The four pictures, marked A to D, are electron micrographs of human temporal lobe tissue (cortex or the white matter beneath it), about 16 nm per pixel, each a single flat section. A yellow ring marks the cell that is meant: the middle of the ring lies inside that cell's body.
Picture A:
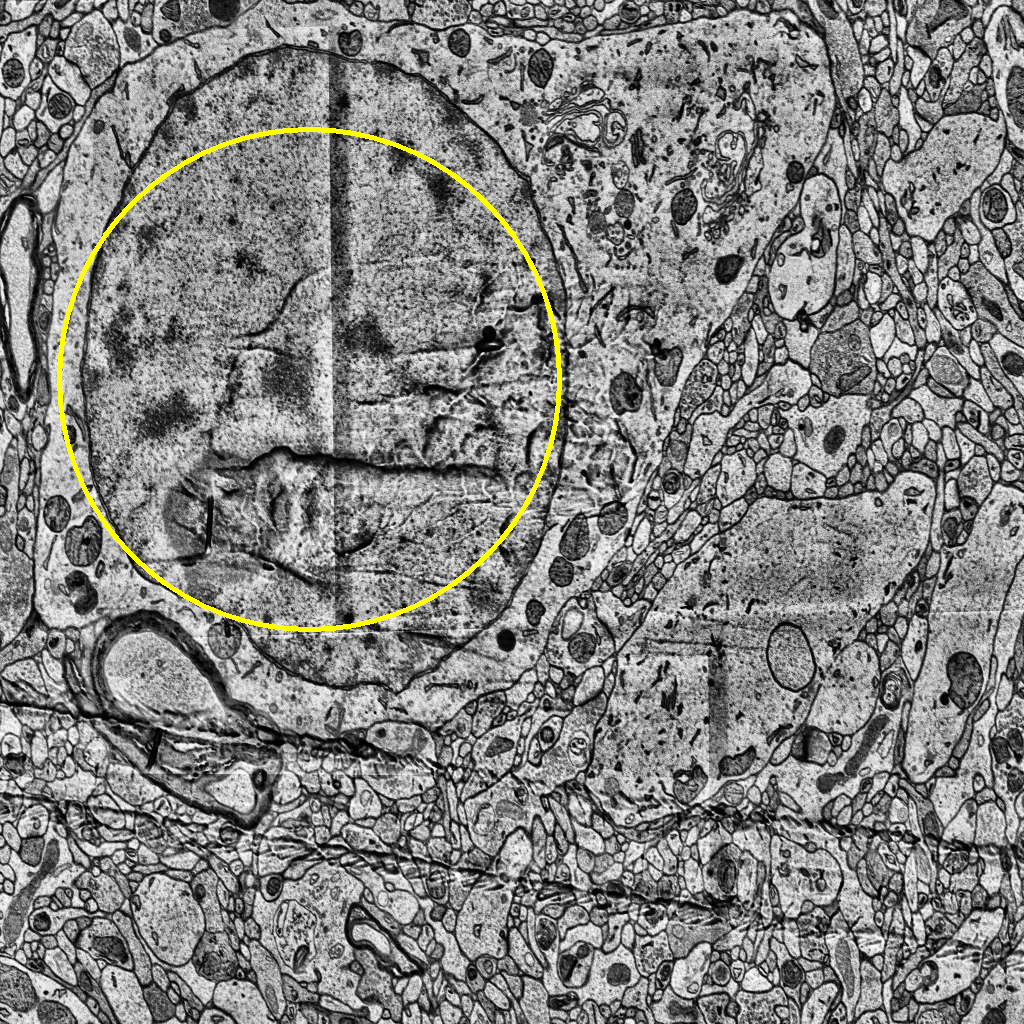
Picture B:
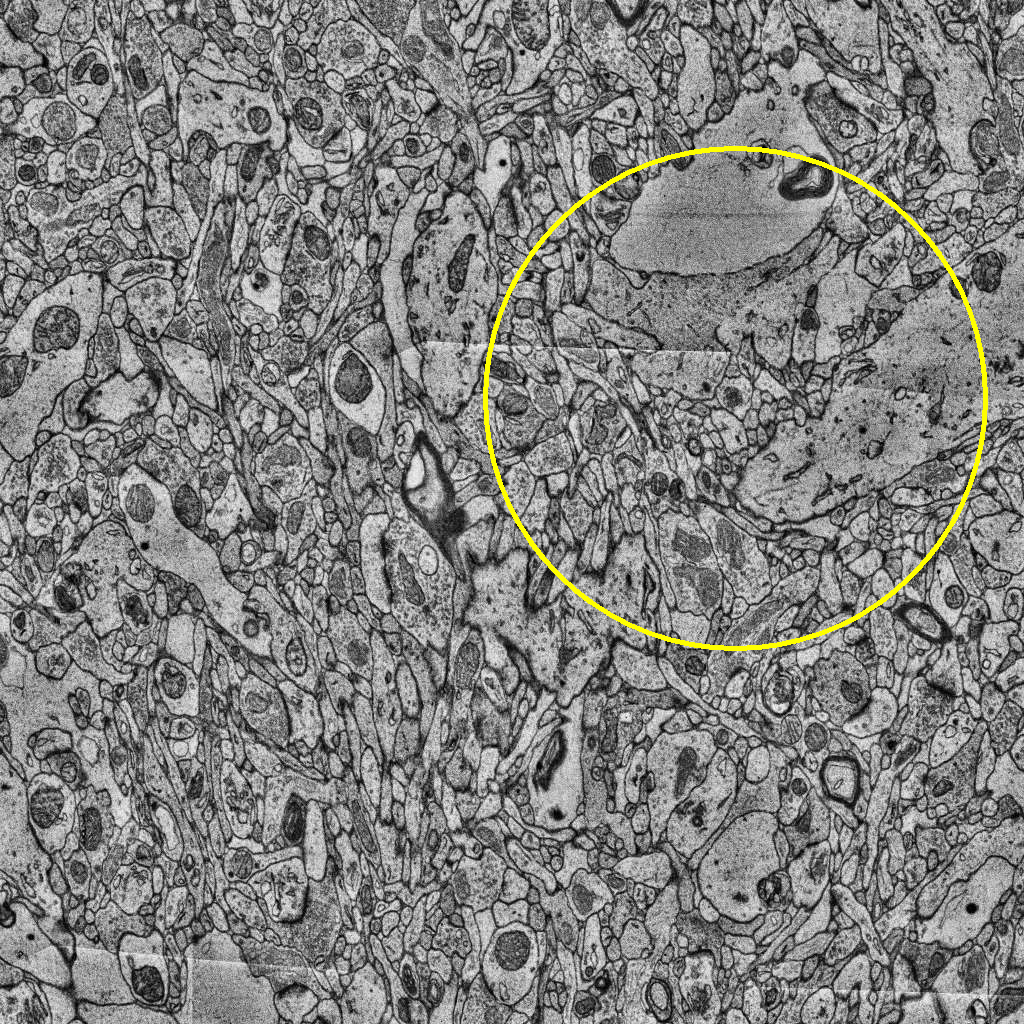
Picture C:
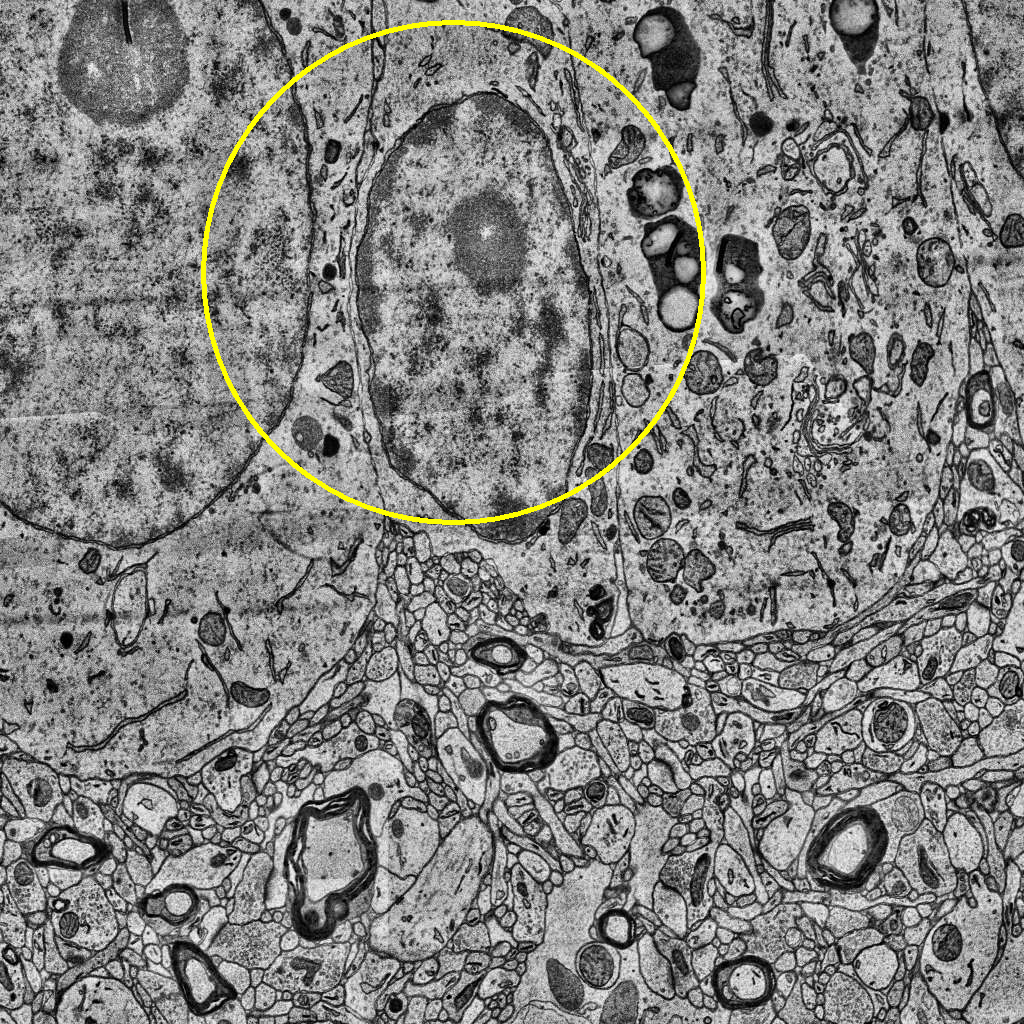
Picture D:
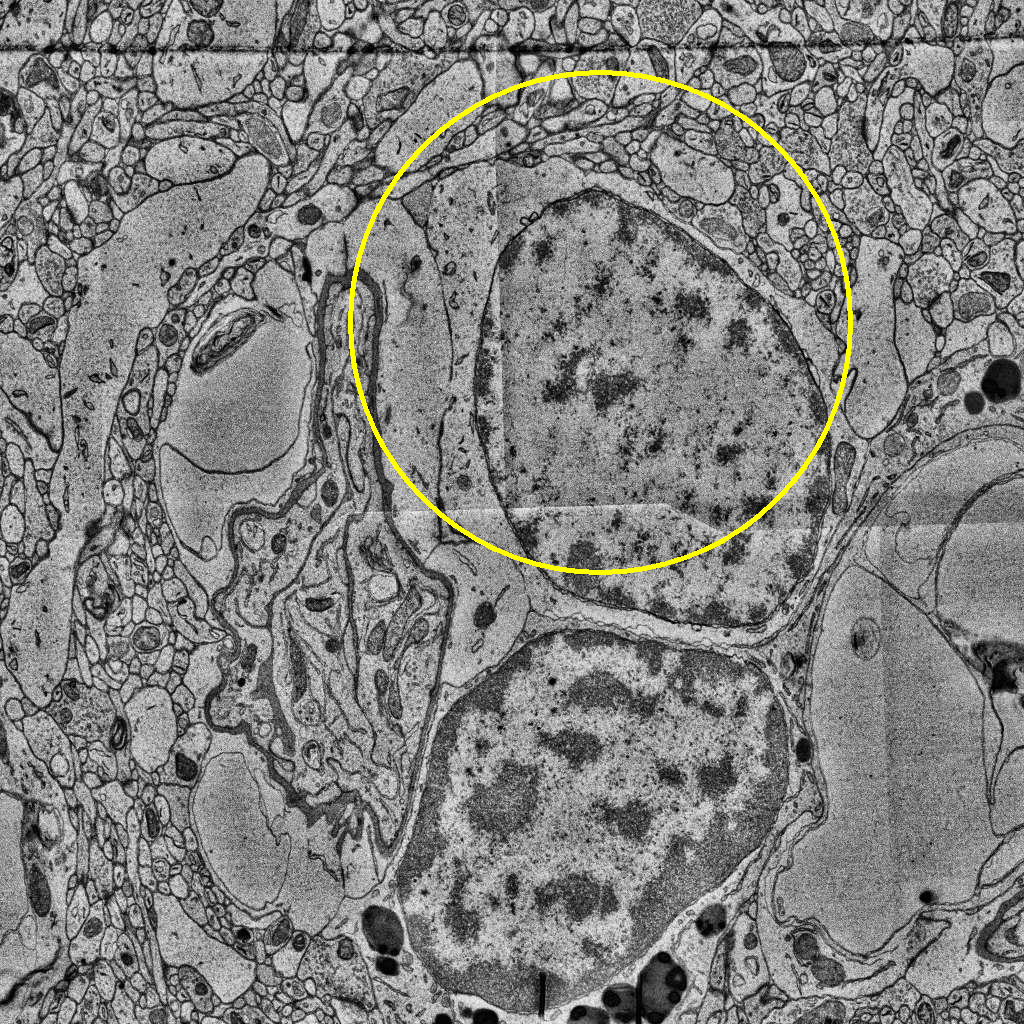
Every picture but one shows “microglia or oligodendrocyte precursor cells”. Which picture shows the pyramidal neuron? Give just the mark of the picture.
A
